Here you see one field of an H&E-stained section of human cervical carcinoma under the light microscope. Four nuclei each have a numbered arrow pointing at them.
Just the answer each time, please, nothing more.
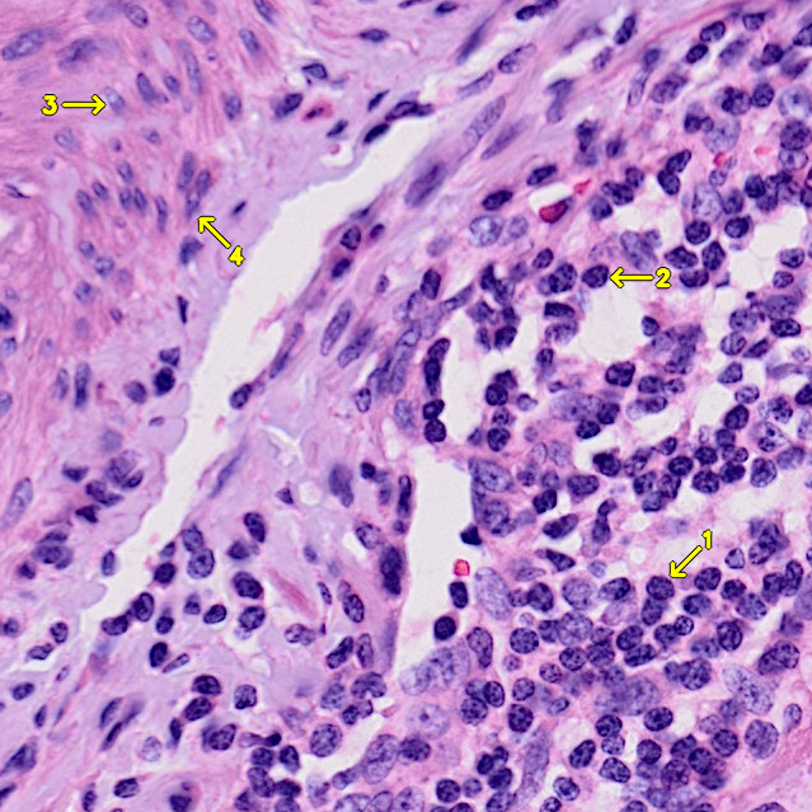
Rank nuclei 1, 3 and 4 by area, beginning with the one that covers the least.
4, 3, 1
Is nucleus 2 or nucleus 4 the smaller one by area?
4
